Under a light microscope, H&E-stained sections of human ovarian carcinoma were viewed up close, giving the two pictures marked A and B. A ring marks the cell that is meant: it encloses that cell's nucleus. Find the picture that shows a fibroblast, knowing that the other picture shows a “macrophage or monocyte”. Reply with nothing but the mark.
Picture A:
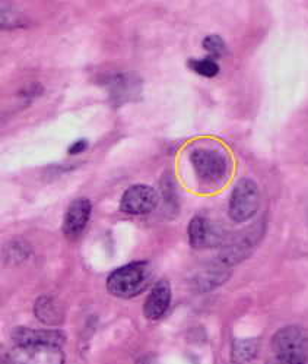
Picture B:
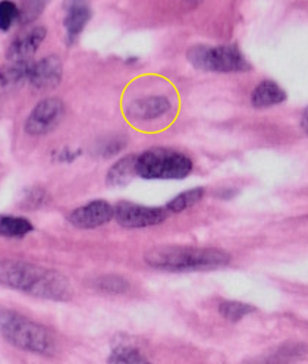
B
